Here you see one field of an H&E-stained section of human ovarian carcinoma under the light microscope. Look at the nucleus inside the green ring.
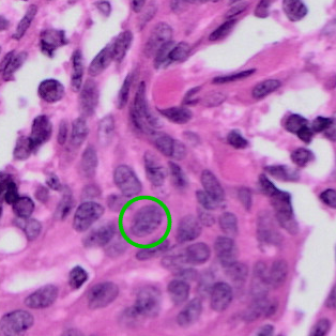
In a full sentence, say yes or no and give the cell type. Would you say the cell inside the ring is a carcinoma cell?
Yes, when classified by type, the cell inside the ring is a carcinoma cell.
